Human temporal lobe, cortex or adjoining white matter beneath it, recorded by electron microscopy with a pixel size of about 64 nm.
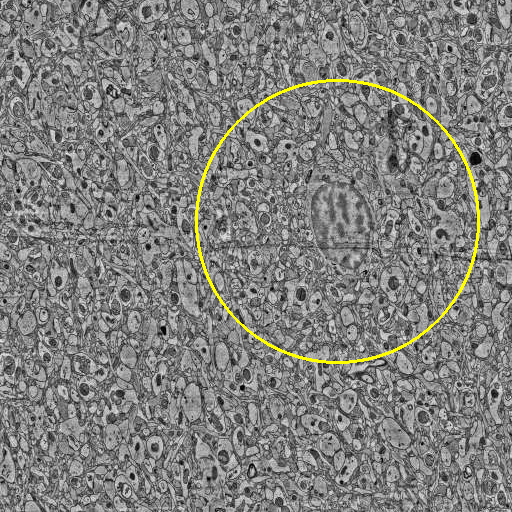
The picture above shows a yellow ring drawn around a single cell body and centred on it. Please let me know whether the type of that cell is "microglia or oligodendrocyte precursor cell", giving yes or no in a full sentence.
No, the cell at the centre of the ring above has a different type.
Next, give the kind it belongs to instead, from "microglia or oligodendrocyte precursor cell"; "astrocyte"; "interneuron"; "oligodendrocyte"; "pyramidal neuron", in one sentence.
That cell in the ring is an oligodendrocyte instead.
